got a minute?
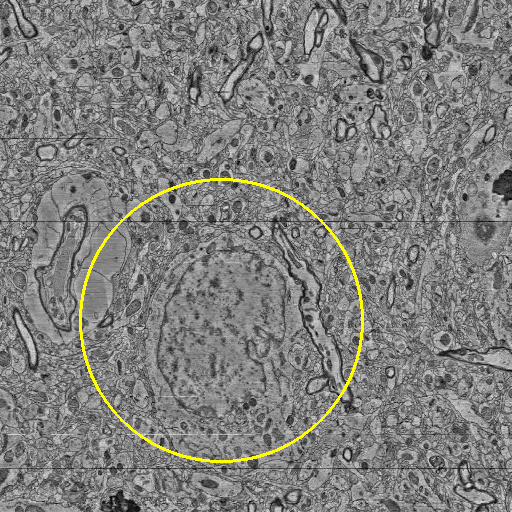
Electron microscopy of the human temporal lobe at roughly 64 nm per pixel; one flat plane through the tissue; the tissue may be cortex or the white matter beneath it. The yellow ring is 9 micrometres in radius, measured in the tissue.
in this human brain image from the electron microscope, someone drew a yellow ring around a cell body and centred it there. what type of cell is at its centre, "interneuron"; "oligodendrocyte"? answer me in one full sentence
It's an interneuron at the middle of that yellow ring in the shot.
